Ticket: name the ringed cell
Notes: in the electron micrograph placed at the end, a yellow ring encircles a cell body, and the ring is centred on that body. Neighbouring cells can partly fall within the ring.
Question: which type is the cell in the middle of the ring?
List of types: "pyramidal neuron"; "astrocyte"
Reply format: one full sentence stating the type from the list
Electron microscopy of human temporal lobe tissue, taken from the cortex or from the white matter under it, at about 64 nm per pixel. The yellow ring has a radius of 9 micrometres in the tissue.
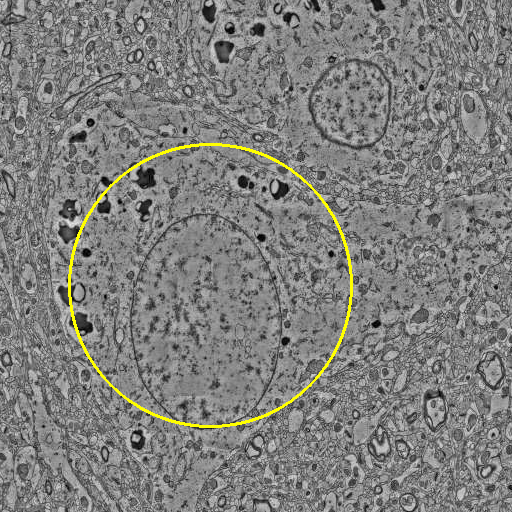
The cell sitting at the centre of the yellow ring is a pyramidal neuron.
